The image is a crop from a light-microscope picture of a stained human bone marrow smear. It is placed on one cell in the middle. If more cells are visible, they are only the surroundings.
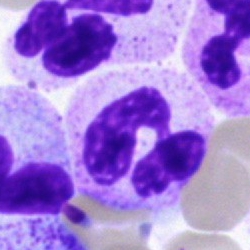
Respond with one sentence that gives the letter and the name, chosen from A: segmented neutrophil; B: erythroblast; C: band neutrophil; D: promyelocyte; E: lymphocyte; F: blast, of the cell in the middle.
Option A is correct, naming the cell in the middle as a segmented neutrophil.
